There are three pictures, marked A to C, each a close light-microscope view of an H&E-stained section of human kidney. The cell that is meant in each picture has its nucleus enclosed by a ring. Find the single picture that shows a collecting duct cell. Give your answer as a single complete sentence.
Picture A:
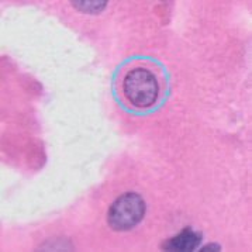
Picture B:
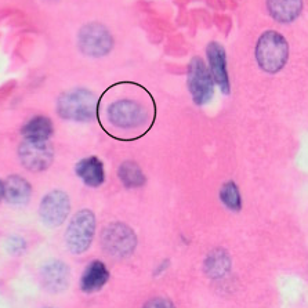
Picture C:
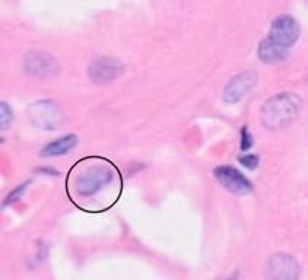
The collecting duct cell is the one in picture B.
